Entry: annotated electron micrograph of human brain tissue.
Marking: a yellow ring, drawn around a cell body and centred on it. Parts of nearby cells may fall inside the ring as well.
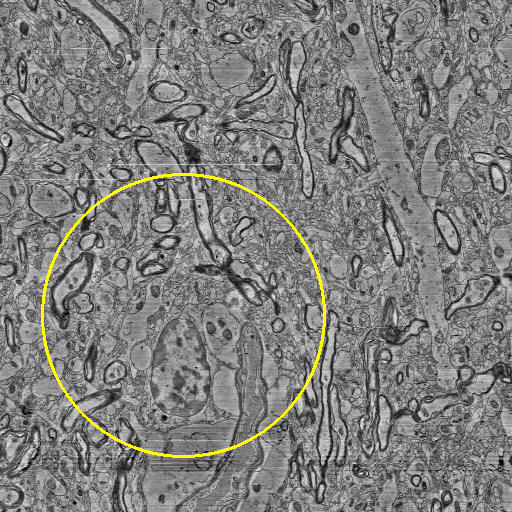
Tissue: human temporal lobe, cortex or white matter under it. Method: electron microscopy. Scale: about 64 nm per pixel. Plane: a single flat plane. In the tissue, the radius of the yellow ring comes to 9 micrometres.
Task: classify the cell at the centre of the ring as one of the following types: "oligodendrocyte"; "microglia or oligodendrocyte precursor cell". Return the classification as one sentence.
The marked cell is classified as a microglial cell or oligodendrocyte precursor cell.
